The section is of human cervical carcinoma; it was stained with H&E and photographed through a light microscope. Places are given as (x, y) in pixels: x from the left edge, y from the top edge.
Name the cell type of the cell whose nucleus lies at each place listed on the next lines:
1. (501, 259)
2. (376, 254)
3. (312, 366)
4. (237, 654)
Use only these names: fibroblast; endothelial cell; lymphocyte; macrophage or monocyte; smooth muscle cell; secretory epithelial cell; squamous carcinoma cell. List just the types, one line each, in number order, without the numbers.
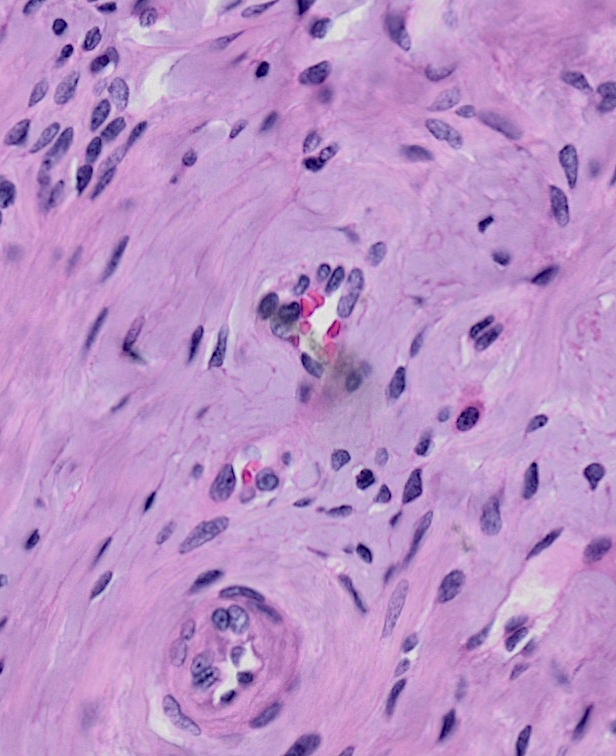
fibroblast
fibroblast
endothelial cell
endothelial cell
